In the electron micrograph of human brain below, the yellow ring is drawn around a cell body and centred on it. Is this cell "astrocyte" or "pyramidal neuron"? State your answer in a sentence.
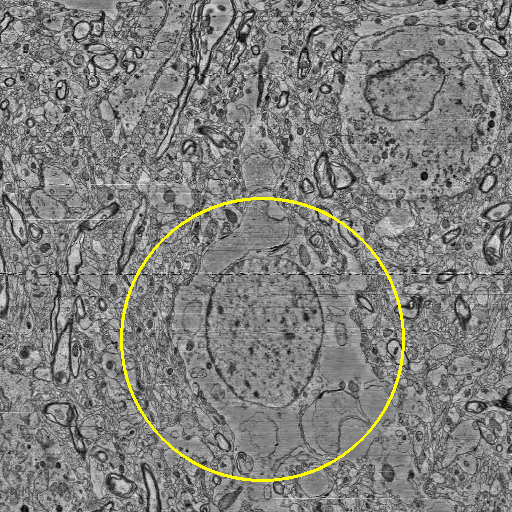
The cell in the middle of the ring is an astrocyte.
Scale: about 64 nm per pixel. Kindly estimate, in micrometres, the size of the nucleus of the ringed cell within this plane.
Roughly 11 by 8 micrometres in this plane, for the nucleus of the ringed cell.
